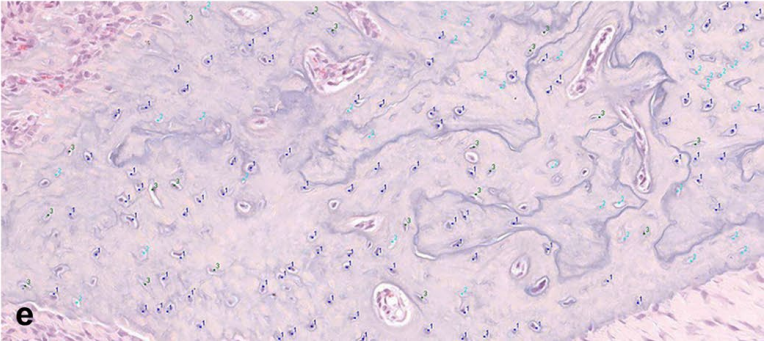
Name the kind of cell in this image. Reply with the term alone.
osteocytes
